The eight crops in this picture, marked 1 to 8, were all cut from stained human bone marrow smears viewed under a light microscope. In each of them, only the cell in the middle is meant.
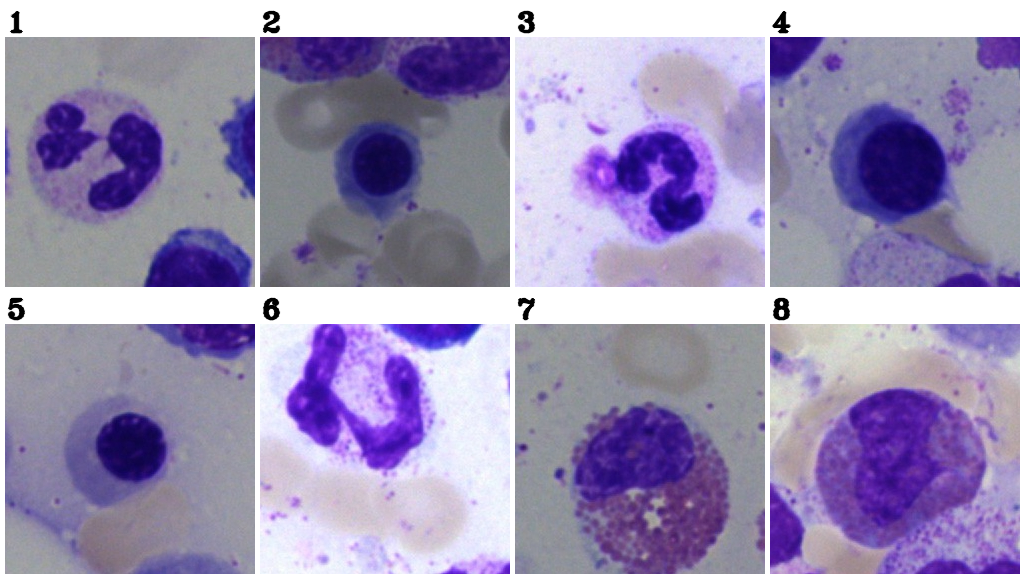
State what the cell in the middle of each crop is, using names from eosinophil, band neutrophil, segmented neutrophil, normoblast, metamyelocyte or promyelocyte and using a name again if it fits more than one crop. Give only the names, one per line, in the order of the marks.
segmented neutrophil
normoblast
segmented neutrophil
normoblast
normoblast
segmented neutrophil
eosinophil
eosinophil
